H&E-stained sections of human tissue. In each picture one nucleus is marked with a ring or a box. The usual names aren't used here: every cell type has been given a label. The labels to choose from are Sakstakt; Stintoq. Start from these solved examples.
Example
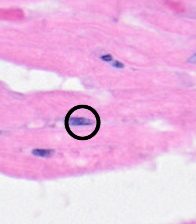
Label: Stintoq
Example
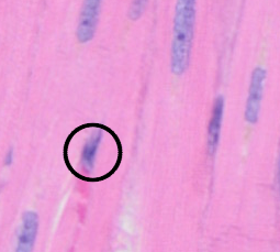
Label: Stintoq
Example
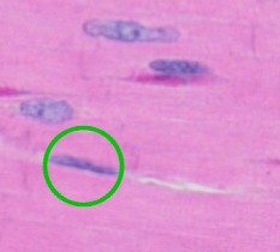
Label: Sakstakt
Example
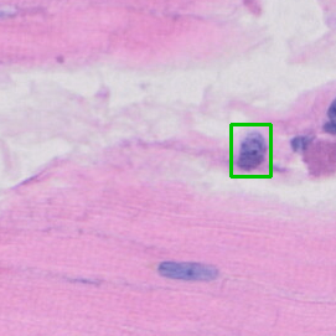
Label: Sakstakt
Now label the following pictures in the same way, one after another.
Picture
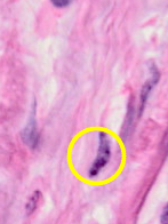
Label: Sakstakt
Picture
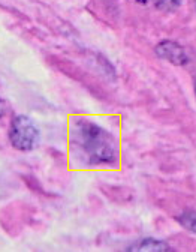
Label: Sakstakt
